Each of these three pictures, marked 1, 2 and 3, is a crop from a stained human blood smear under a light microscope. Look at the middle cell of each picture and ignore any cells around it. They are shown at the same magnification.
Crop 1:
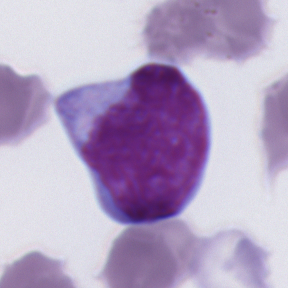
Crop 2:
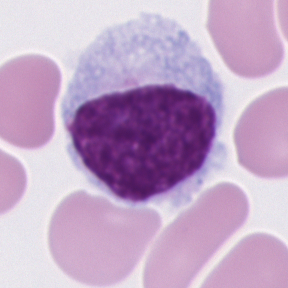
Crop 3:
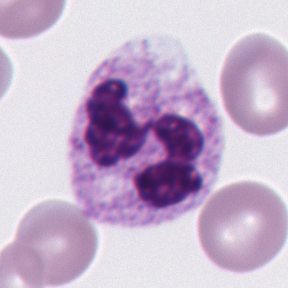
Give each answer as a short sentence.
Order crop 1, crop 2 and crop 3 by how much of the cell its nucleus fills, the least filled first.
The least filled comes first: 3, 2, 1.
